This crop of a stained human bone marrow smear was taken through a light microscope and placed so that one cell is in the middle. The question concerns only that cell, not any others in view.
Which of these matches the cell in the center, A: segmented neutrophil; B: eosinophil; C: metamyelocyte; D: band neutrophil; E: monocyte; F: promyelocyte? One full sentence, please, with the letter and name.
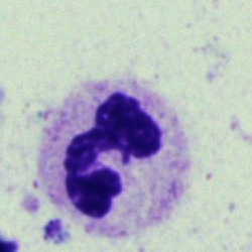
Option A correctly names the cell in the middle as a segmented neutrophil.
